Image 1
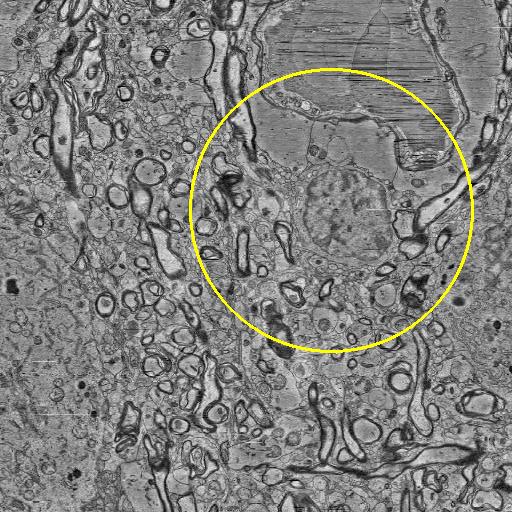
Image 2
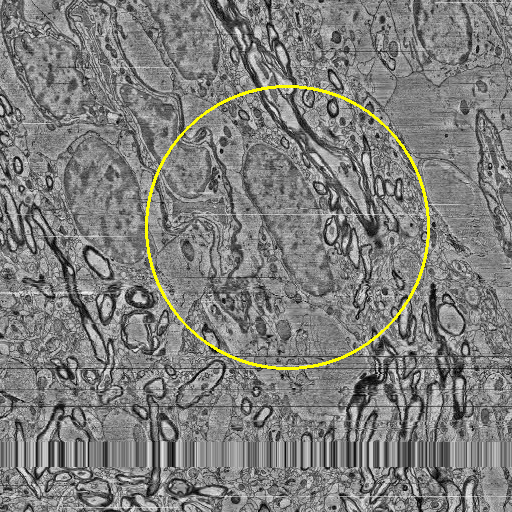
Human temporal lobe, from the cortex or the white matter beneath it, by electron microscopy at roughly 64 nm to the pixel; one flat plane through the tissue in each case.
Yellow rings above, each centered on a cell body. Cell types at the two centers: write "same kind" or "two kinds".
same kind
